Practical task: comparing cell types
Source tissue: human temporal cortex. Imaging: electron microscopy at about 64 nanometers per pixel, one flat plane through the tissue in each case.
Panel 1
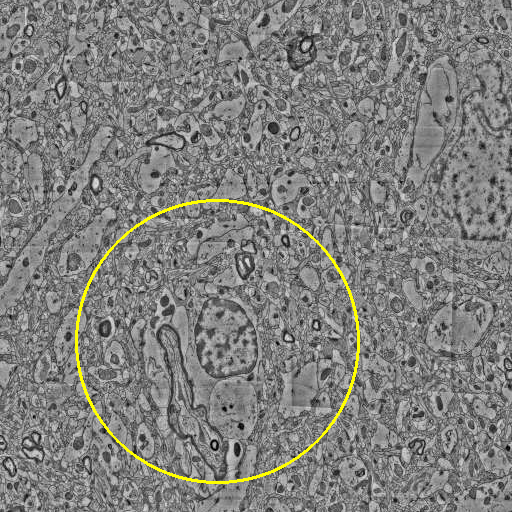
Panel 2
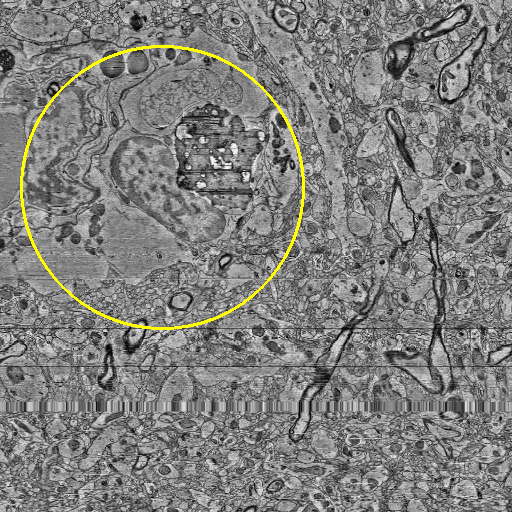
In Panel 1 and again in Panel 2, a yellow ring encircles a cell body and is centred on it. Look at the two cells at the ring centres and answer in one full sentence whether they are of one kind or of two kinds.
The two cells sitting at the ring centres of Panels 1 and 2 are of one kind.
